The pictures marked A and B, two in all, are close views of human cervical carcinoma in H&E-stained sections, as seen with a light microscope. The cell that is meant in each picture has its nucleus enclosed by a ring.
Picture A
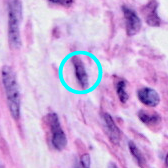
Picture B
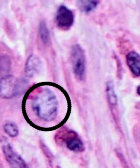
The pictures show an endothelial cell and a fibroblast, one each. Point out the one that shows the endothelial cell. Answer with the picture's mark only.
B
